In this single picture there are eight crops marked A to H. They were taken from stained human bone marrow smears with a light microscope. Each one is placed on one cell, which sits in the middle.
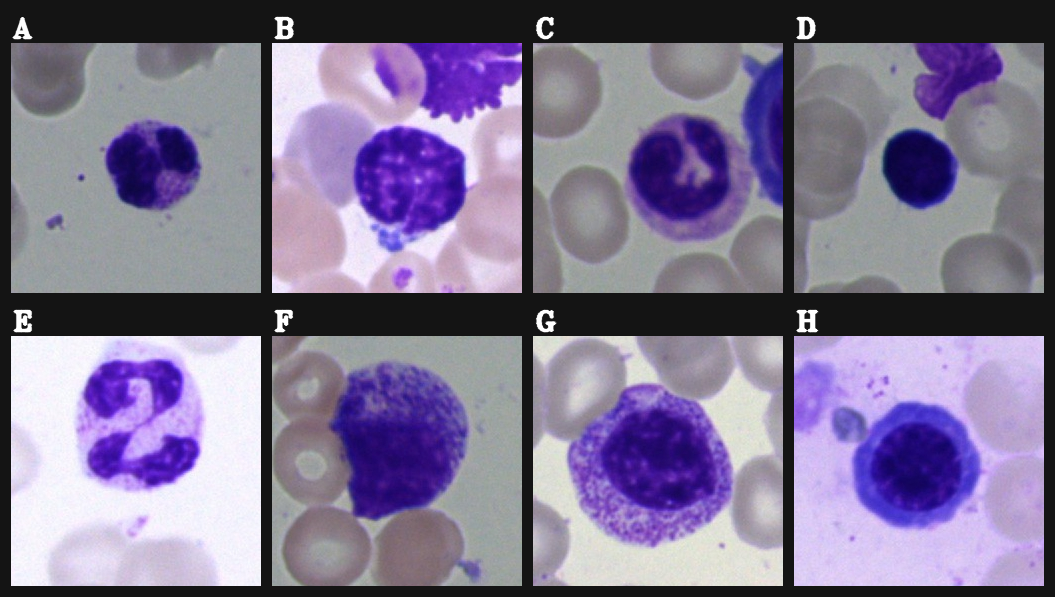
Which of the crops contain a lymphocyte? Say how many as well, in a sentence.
The tally is two crops with lymphocytes: B and D.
